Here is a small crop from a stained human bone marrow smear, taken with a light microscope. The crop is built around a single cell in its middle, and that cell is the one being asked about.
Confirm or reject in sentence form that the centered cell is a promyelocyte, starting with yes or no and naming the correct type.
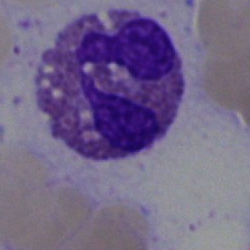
No, the central cell does not count as a promyelocyte; it is an eosinophil.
